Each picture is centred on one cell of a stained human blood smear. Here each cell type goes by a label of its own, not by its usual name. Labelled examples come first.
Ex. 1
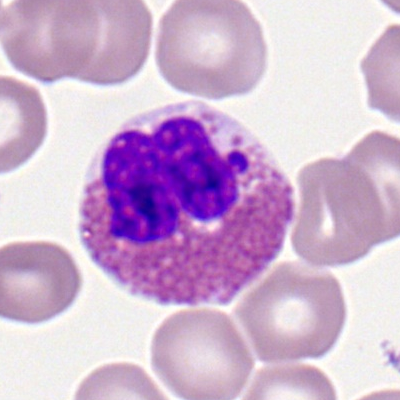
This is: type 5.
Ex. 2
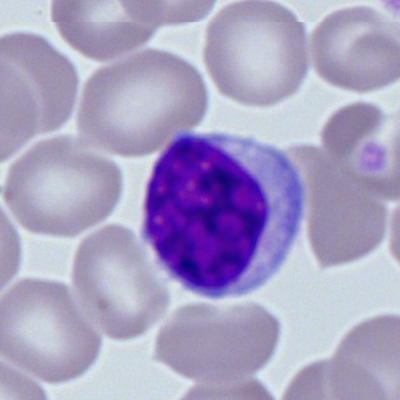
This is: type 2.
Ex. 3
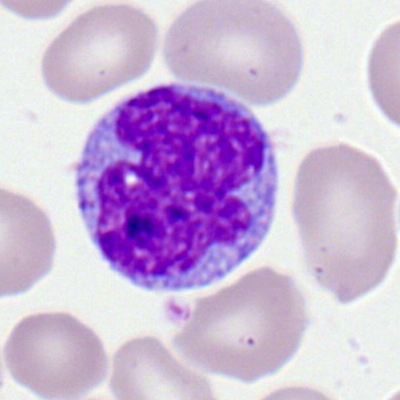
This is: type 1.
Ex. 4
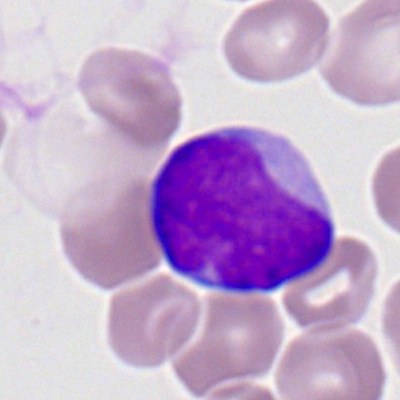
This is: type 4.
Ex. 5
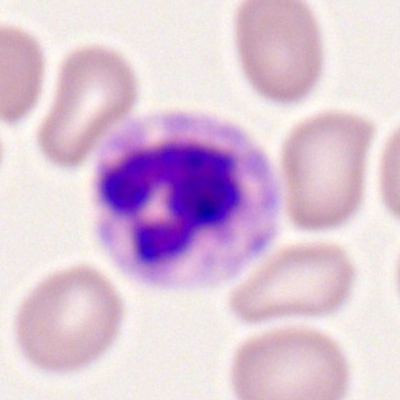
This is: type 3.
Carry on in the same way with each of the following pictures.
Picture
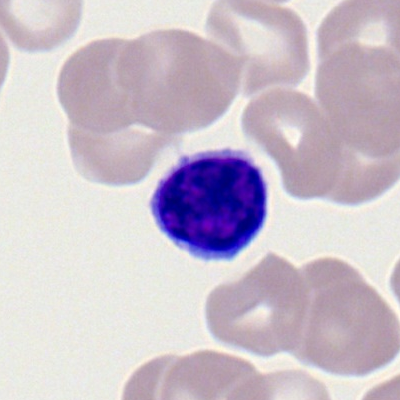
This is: type 2.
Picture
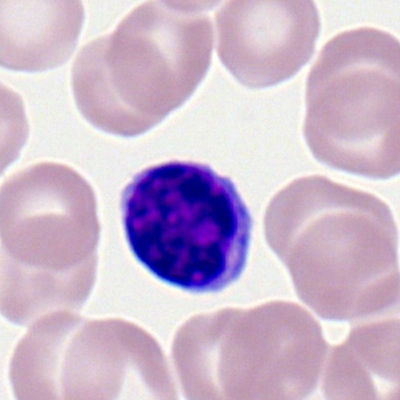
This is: type 2.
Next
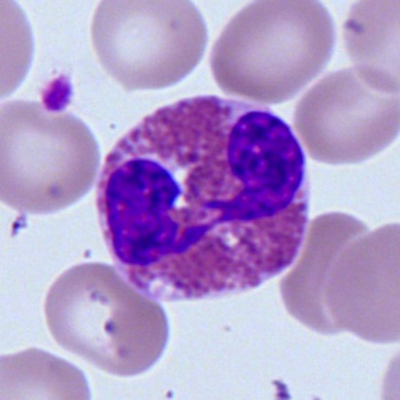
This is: type 5.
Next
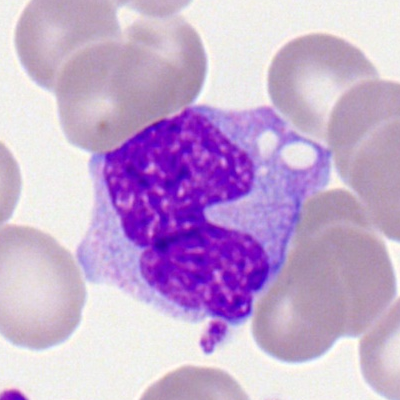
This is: type 1.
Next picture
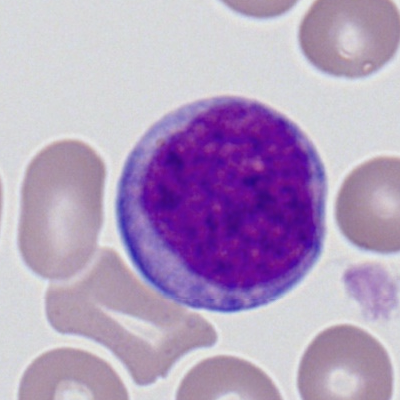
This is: type 4.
